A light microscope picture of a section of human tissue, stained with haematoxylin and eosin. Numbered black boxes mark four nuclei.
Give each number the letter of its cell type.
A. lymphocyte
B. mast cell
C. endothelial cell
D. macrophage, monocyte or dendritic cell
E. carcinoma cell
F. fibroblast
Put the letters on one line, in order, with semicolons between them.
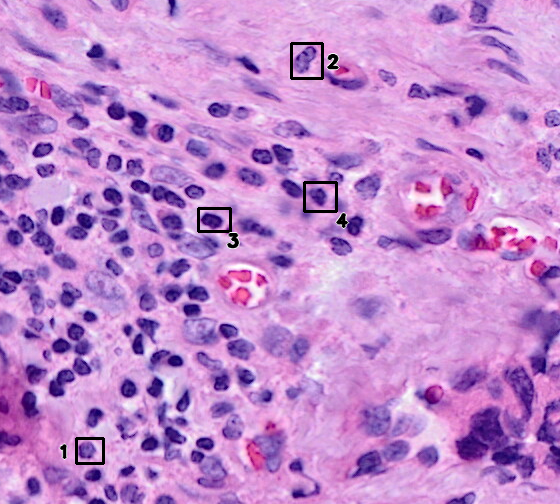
A; B; A; A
